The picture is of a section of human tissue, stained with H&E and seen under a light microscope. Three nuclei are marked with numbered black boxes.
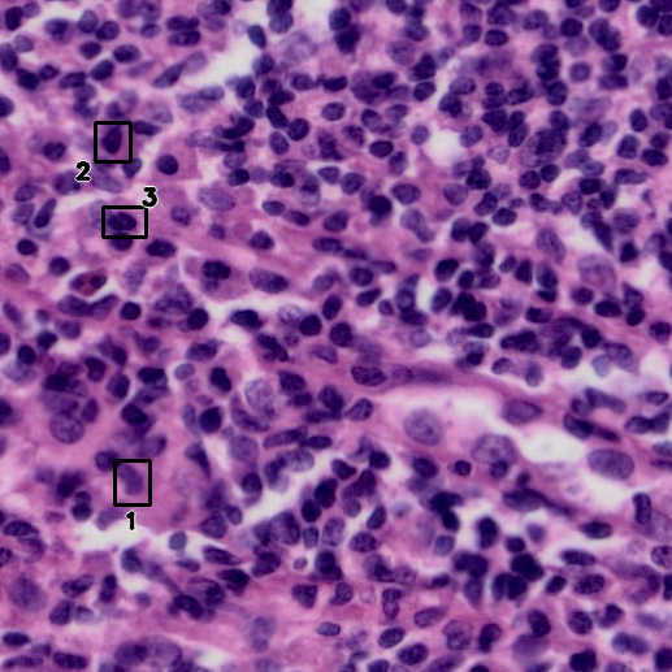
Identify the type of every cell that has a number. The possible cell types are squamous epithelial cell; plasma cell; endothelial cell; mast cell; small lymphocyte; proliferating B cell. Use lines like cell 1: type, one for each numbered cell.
cell 1: endothelial cell
cell 2: plasma cell
cell 3: plasma cell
